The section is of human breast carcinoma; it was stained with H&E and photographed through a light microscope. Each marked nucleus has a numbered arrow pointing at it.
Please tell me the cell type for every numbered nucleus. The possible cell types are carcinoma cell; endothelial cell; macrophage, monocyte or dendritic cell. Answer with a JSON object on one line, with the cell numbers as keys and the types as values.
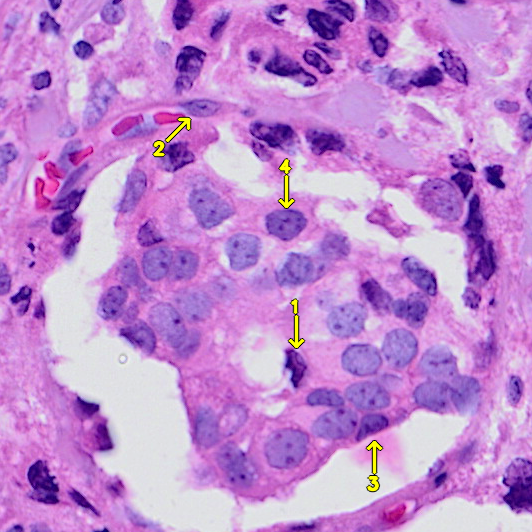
{"1": "carcinoma cell", "2": "endothelial cell", "3": "carcinoma cell", "4": "carcinoma cell"}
